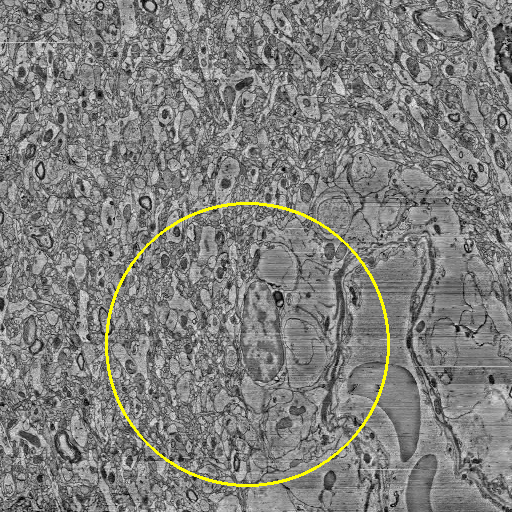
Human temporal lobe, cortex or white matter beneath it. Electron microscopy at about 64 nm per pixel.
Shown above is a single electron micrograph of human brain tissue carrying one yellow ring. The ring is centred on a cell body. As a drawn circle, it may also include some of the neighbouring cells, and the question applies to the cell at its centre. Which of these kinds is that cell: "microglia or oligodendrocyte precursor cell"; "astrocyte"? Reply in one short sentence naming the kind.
The cell marked by the ring is a microglial cell or oligodendrocyte precursor cell.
